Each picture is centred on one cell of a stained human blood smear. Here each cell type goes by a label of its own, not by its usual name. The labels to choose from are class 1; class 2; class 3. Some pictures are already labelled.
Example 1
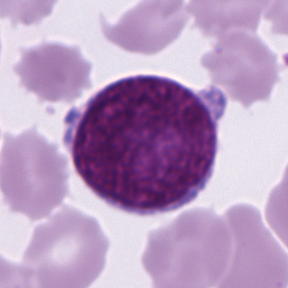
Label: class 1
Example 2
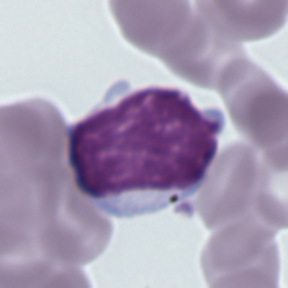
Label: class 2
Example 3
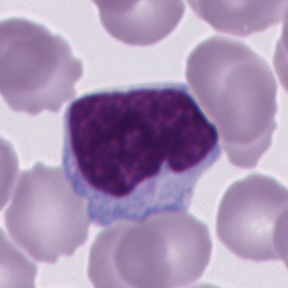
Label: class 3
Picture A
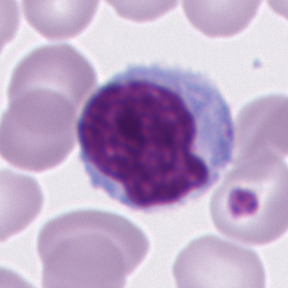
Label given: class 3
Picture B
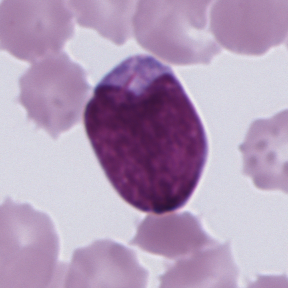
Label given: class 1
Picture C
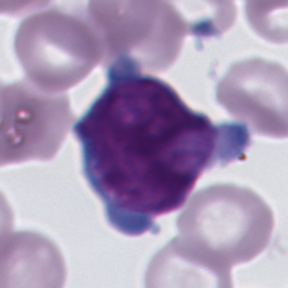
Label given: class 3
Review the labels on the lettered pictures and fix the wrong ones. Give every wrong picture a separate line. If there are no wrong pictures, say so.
C: class 1, not class 3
